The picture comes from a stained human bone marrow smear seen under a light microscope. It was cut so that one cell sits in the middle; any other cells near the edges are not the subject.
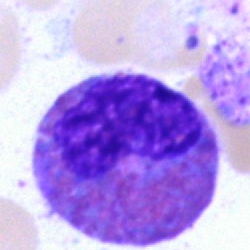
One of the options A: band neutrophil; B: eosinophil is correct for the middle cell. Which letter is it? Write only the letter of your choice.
B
